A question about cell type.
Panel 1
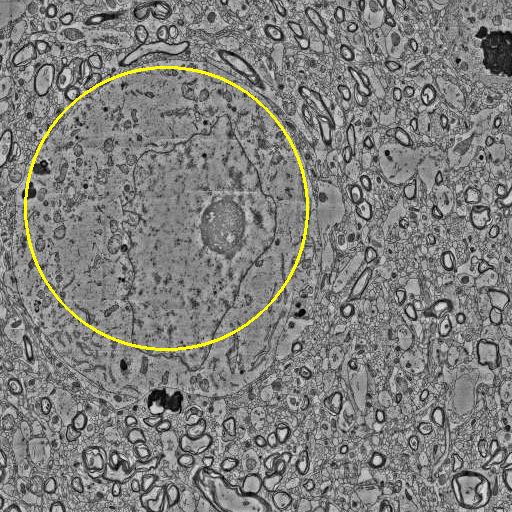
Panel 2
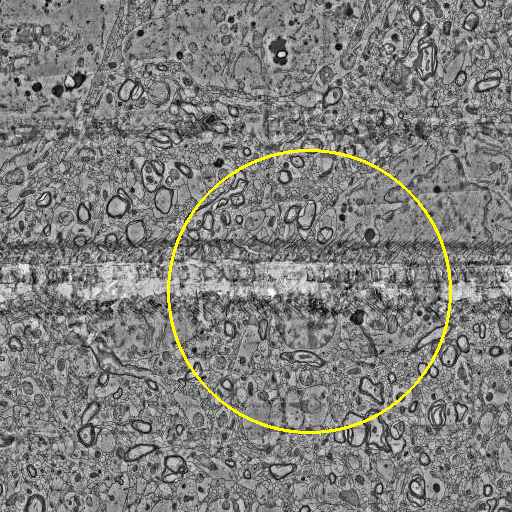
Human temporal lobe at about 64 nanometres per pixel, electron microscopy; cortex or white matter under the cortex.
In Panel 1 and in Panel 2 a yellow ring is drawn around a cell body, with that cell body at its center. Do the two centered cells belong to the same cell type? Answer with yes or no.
no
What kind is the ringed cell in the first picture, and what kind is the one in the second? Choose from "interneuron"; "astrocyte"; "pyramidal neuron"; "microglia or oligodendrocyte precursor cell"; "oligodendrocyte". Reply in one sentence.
The first cell is a pyramidal neuron; the second is an oligodendrocyte.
